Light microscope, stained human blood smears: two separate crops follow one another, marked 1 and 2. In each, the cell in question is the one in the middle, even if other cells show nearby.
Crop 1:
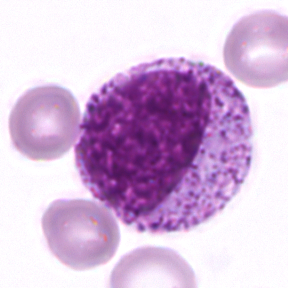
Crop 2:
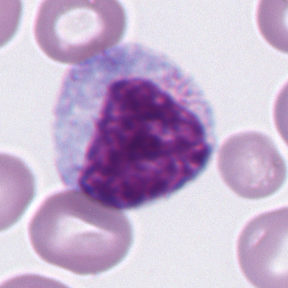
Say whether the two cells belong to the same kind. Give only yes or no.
yes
